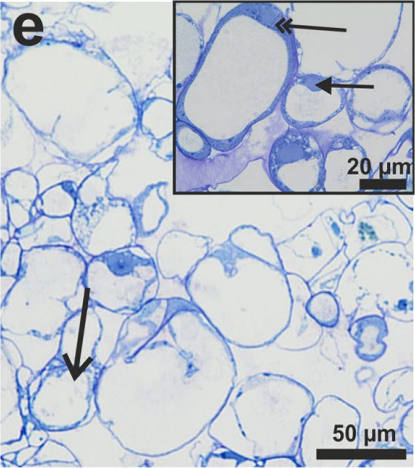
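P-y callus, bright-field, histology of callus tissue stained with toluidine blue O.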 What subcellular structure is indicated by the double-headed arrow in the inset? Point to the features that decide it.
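Narrow layer of cytoplasm. A thin blue-stained rim lines the cell wall around a large pale central space.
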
